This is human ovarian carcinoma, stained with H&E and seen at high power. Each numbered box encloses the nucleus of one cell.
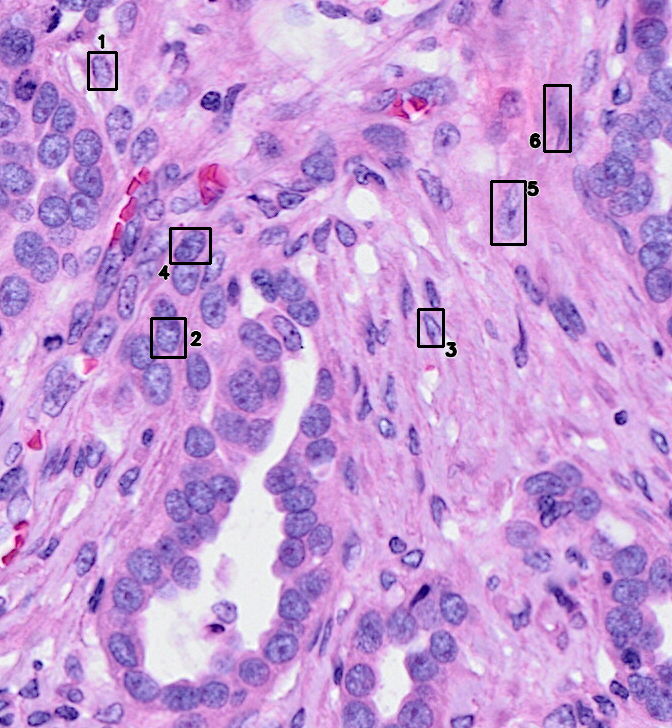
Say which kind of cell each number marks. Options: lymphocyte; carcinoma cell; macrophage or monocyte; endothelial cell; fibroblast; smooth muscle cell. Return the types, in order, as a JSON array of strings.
["fibroblast", "carcinoma cell", "fibroblast", "carcinoma cell", "fibroblast", "fibroblast"]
